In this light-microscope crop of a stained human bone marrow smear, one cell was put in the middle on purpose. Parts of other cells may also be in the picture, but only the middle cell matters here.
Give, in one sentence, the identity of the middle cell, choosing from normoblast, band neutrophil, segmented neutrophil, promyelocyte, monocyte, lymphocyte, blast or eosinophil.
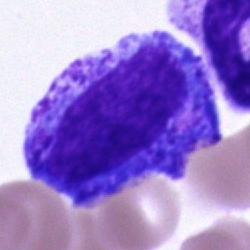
In the central position of this crop, the cell is a promyelocyte.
